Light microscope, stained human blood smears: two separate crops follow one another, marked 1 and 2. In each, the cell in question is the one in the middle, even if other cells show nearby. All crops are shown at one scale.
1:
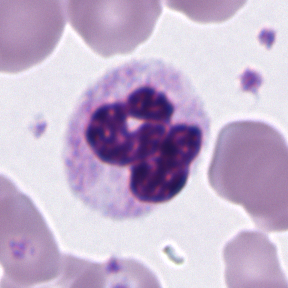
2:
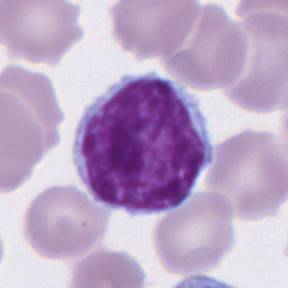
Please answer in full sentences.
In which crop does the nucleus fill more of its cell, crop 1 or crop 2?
It is the cell in crop 2 that is filled more by its nucleus.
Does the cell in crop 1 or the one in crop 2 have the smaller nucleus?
It is the nucleus in crop 1; the one in crop 2 has about 1.5 times its area.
